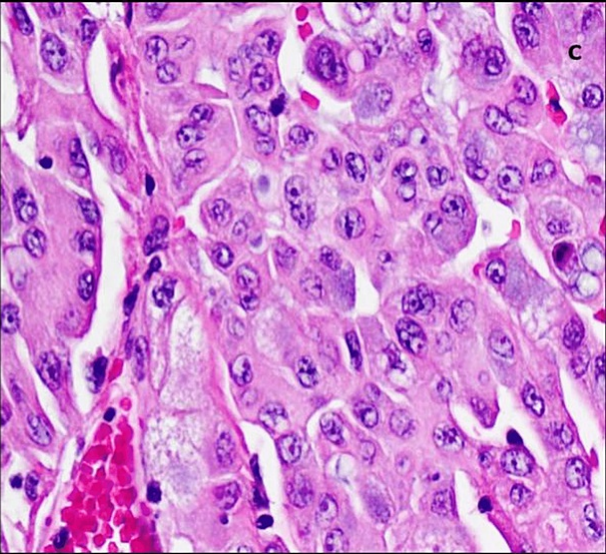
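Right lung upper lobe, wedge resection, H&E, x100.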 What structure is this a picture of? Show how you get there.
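Solid nests. Large polygonal cells lie closely packed without forming gland lumens. Groups of cells are separated by thin strands with capillaries and red blood cells.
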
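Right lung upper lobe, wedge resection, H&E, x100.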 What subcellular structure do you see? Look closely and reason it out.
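Prominent nucleoli. Many nuclei are vesicular with a distinct dark dot-like nucleolus. Nuclei are large and vary in size and shape.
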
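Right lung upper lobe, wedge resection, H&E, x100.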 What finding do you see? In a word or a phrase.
Pleomorphic.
